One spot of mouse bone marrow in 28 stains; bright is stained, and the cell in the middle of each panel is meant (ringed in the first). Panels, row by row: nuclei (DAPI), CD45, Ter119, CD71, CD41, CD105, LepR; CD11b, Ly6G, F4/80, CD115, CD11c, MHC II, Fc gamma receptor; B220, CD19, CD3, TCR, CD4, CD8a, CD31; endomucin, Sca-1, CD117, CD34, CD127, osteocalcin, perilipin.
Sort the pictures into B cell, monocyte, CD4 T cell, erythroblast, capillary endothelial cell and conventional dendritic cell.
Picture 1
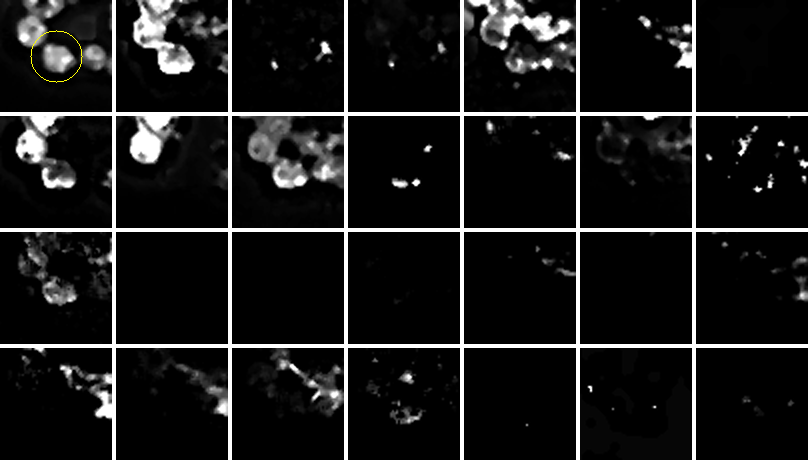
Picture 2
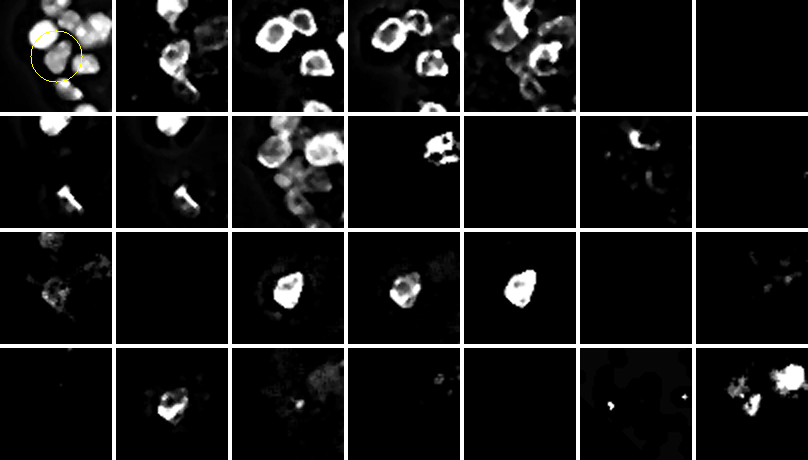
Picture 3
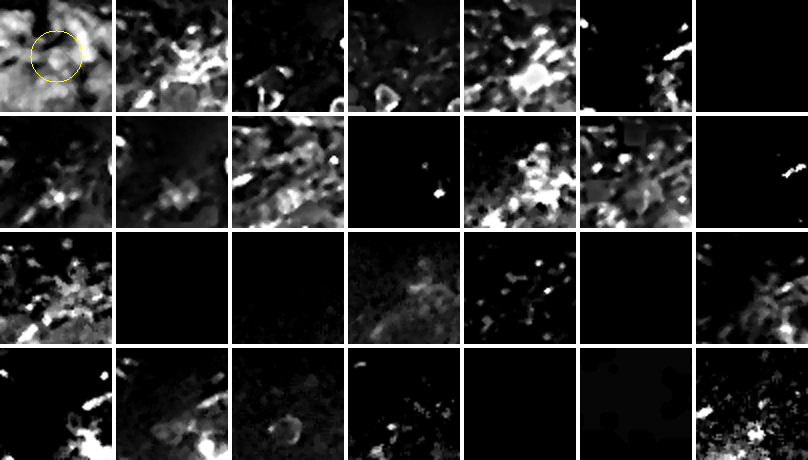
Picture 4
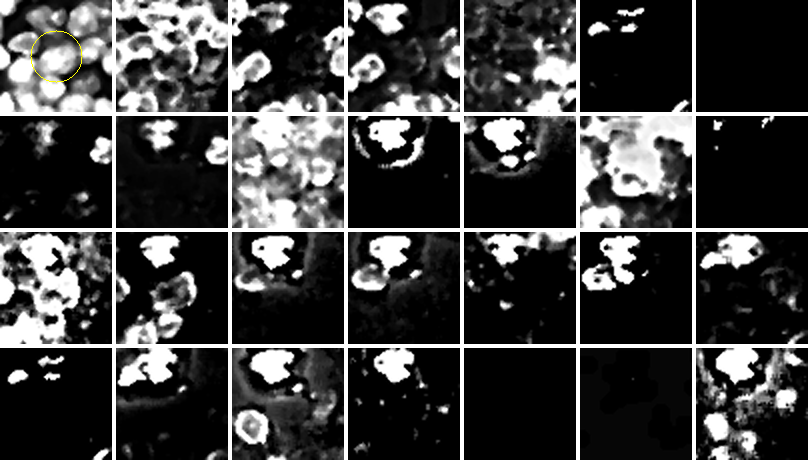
Monocytes: 1
CD4 T cells: 2
Conventional dendritic cells: 3
B cells: 4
